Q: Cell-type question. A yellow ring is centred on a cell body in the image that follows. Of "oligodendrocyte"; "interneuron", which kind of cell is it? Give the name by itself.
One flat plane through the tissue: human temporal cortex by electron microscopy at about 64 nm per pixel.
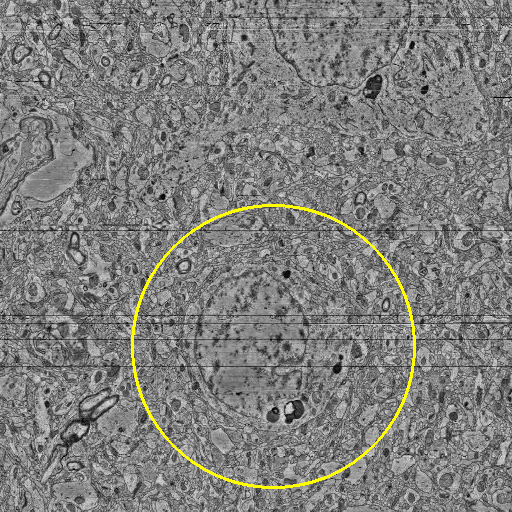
interneuron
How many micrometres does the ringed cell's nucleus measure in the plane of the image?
In this plane, approximately 10 by 7 micrometers.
